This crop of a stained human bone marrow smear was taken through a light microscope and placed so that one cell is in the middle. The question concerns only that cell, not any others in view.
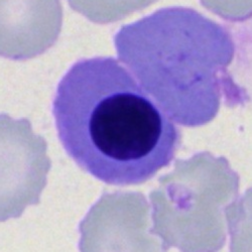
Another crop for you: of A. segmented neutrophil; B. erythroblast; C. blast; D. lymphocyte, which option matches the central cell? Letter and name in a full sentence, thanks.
Correctly, option B names the cell in the middle an erythroblast.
